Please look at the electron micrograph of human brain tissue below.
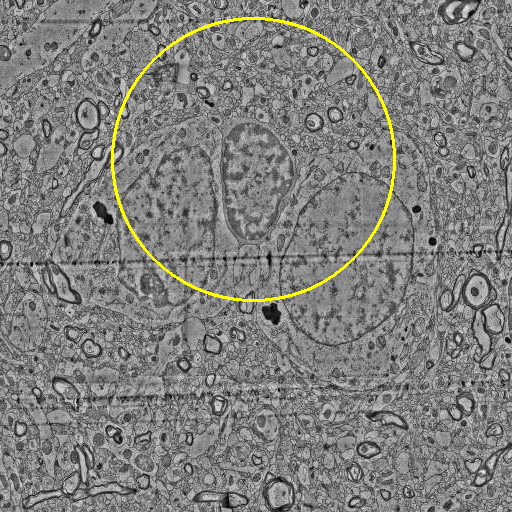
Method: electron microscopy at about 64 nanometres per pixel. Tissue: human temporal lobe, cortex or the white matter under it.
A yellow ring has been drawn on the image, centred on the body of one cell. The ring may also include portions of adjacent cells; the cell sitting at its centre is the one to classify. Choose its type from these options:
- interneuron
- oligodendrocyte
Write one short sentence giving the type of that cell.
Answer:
The cell in the middle of the ring is an oligodendrocyte.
